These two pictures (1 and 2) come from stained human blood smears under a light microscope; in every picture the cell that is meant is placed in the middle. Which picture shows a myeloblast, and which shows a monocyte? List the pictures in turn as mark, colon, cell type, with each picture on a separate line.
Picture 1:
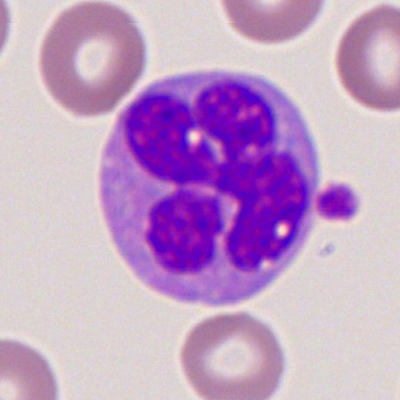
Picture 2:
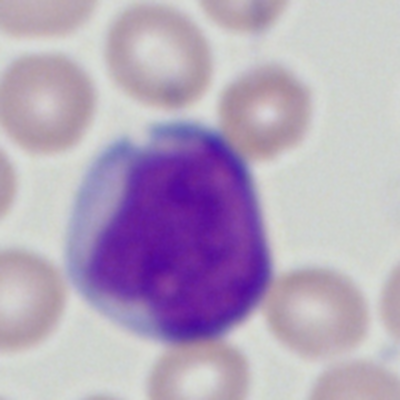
1: monocyte
2: myeloblast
